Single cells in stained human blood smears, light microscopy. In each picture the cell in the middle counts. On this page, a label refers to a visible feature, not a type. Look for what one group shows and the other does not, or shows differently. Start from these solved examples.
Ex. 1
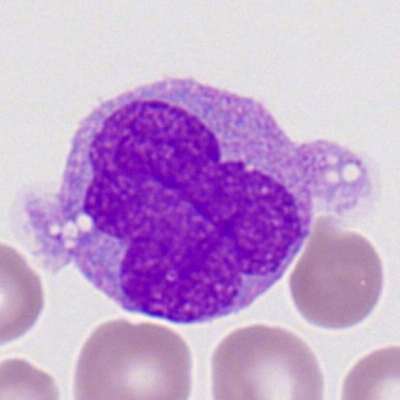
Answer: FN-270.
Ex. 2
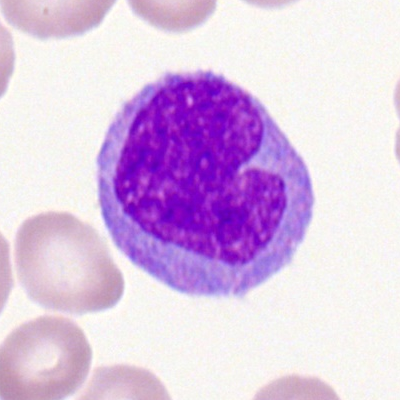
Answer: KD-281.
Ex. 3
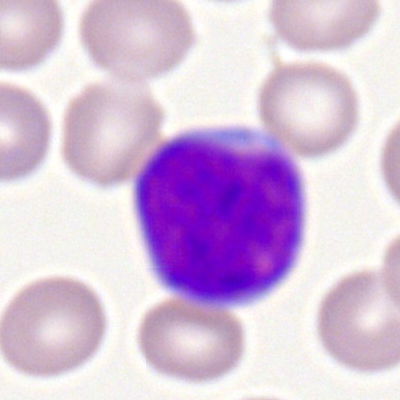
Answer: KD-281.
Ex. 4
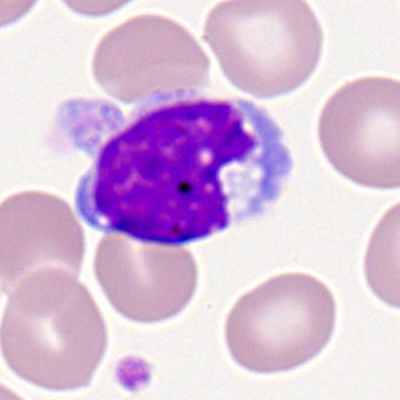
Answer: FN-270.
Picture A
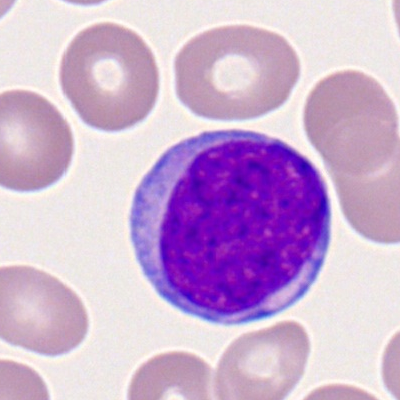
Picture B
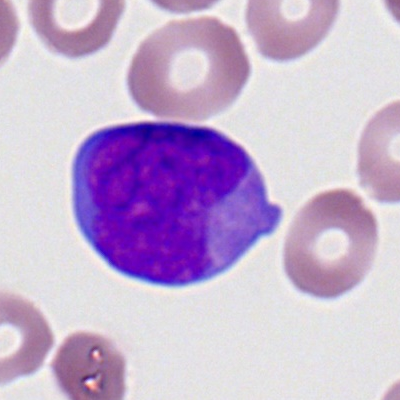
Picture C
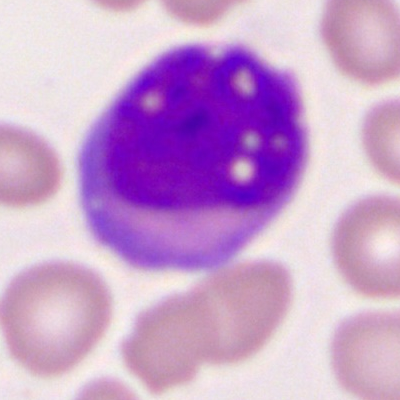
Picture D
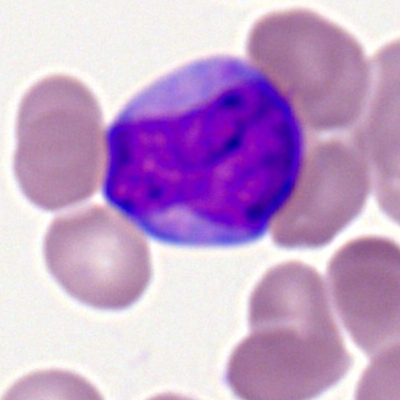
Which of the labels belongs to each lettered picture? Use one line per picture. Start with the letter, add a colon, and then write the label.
A: KD-281.
B: KD-281.
C: FN-270.
D: KD-281.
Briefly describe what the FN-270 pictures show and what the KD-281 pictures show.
Seen in FN-270: vacuoles present; seen in KD-281: no vacuoles.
